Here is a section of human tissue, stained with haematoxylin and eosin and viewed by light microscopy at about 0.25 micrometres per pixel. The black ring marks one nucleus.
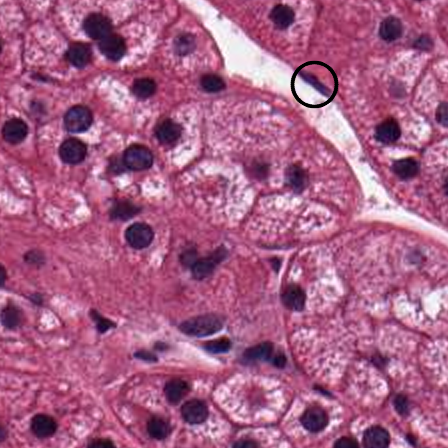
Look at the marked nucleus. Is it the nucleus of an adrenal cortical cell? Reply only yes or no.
no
